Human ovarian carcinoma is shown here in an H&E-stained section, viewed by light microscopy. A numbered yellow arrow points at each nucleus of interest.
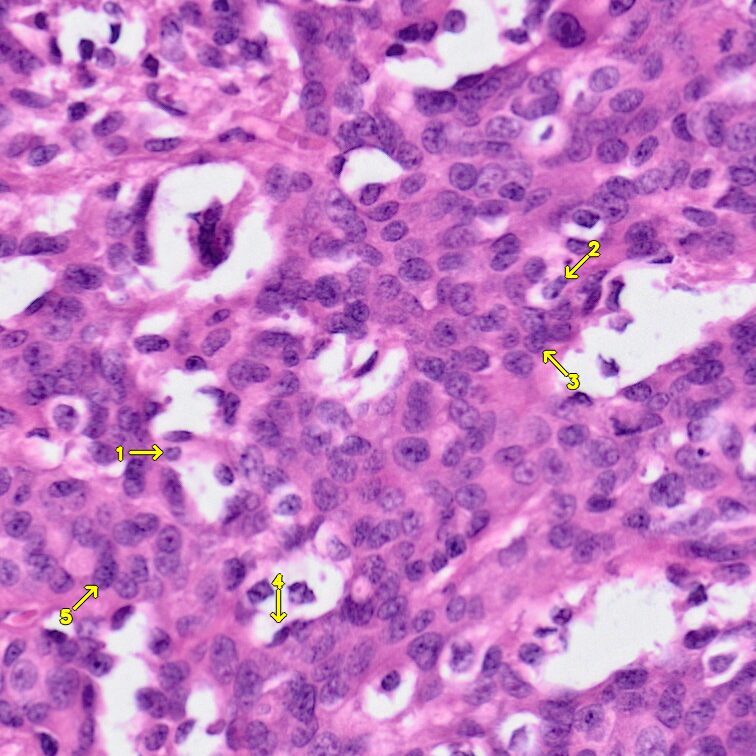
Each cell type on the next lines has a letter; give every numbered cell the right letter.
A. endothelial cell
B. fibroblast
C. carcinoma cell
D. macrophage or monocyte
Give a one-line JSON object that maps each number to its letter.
{"1": "D", "2": "D", "3": "C", "4": "C", "5": "C"}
